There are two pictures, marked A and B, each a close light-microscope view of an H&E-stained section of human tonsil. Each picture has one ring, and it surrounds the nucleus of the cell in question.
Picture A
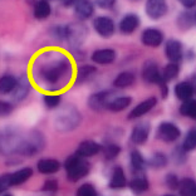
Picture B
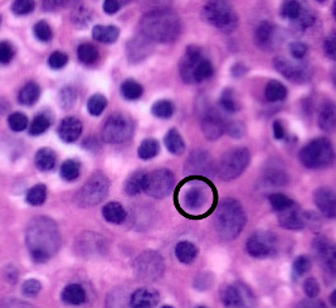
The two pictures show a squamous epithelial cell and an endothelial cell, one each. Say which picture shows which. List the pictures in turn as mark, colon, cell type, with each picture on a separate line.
A: endothelial cell
B: squamous epithelial cell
